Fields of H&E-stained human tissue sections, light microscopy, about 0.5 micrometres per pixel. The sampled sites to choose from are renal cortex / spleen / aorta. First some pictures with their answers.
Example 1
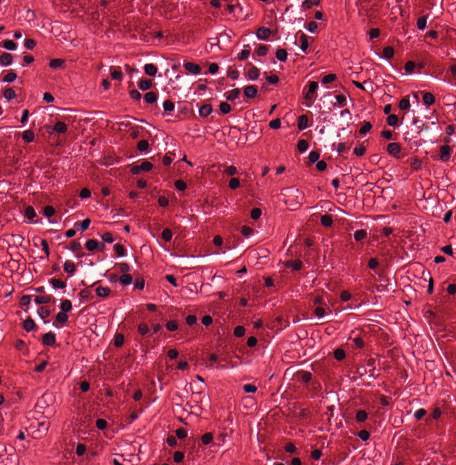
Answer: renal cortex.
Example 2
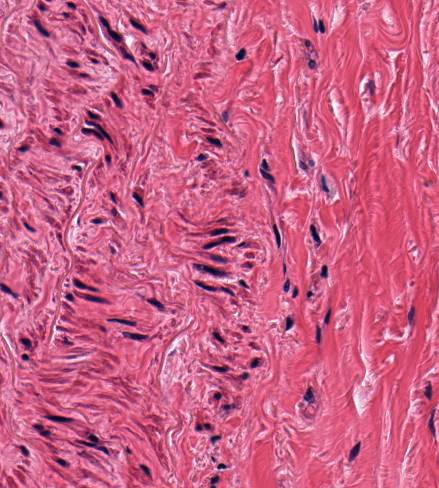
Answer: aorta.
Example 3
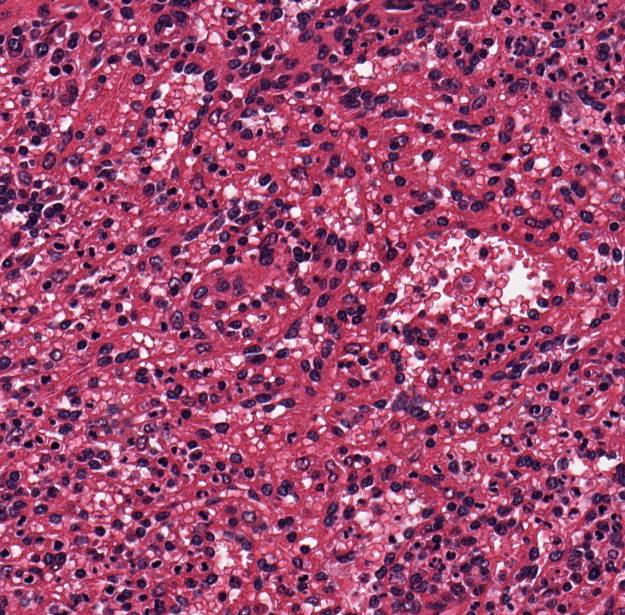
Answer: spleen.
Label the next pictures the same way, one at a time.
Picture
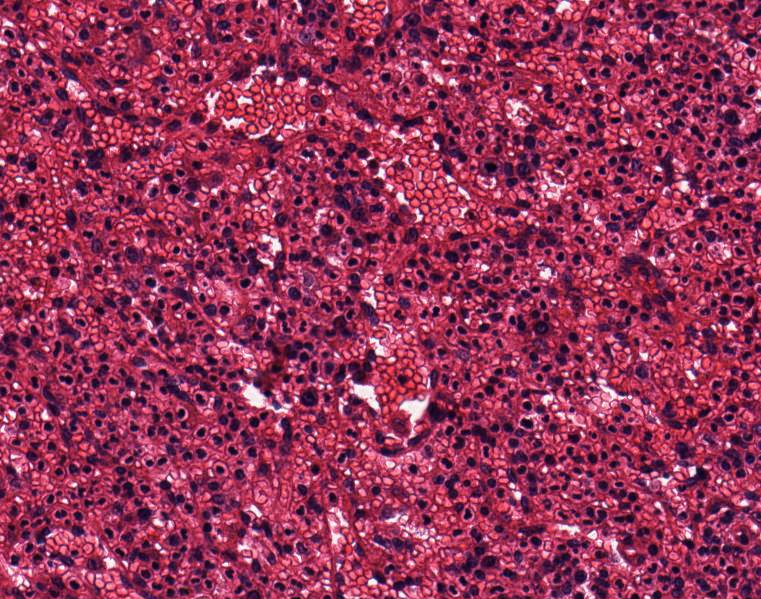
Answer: spleen.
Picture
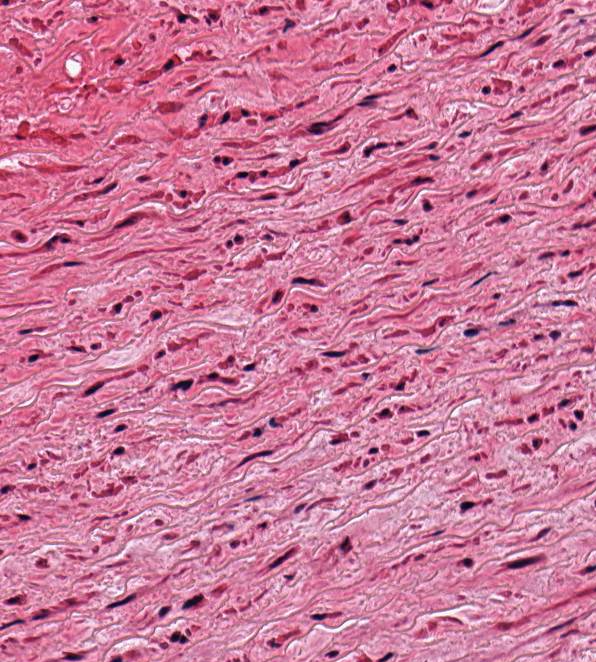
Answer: aorta.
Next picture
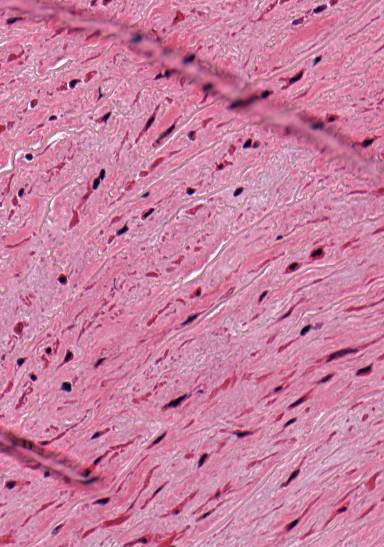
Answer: aorta.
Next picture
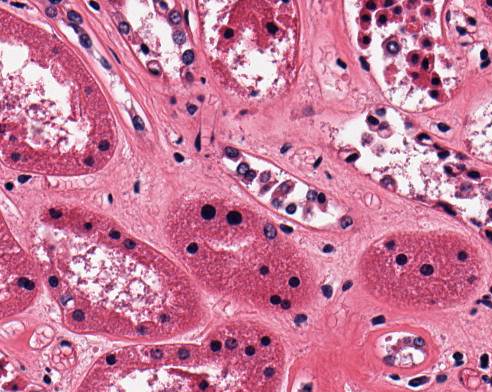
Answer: renal cortex.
